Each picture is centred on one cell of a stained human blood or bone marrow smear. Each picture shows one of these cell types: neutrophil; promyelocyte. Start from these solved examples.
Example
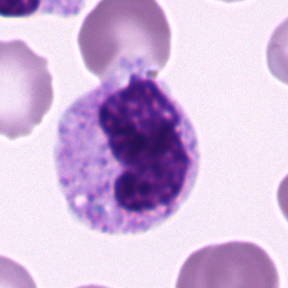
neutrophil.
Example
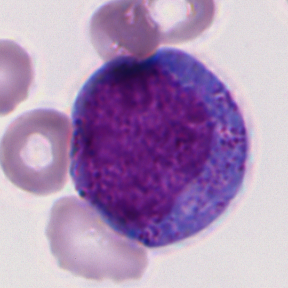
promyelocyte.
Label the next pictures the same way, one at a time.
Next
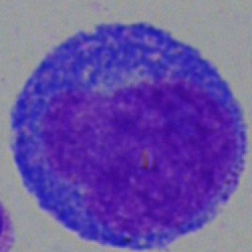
promyelocyte.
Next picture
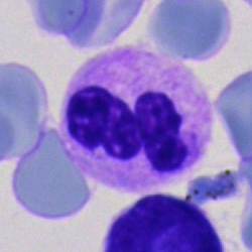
neutrophil.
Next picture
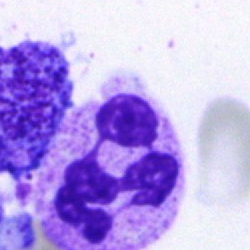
neutrophil.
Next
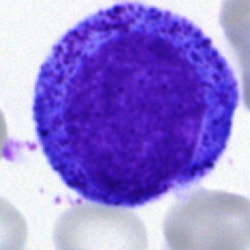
promyelocyte.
